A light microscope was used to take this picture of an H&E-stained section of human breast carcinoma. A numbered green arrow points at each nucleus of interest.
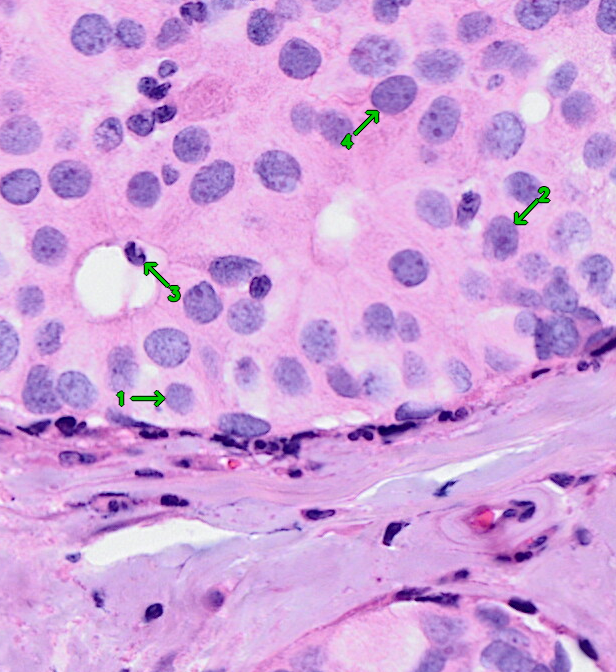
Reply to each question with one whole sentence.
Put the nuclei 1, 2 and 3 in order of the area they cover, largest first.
Largest first, the order by area is 2, 1, 3.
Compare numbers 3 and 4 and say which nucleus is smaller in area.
It is nucleus 3; nucleus 4 has about 3 times its area.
